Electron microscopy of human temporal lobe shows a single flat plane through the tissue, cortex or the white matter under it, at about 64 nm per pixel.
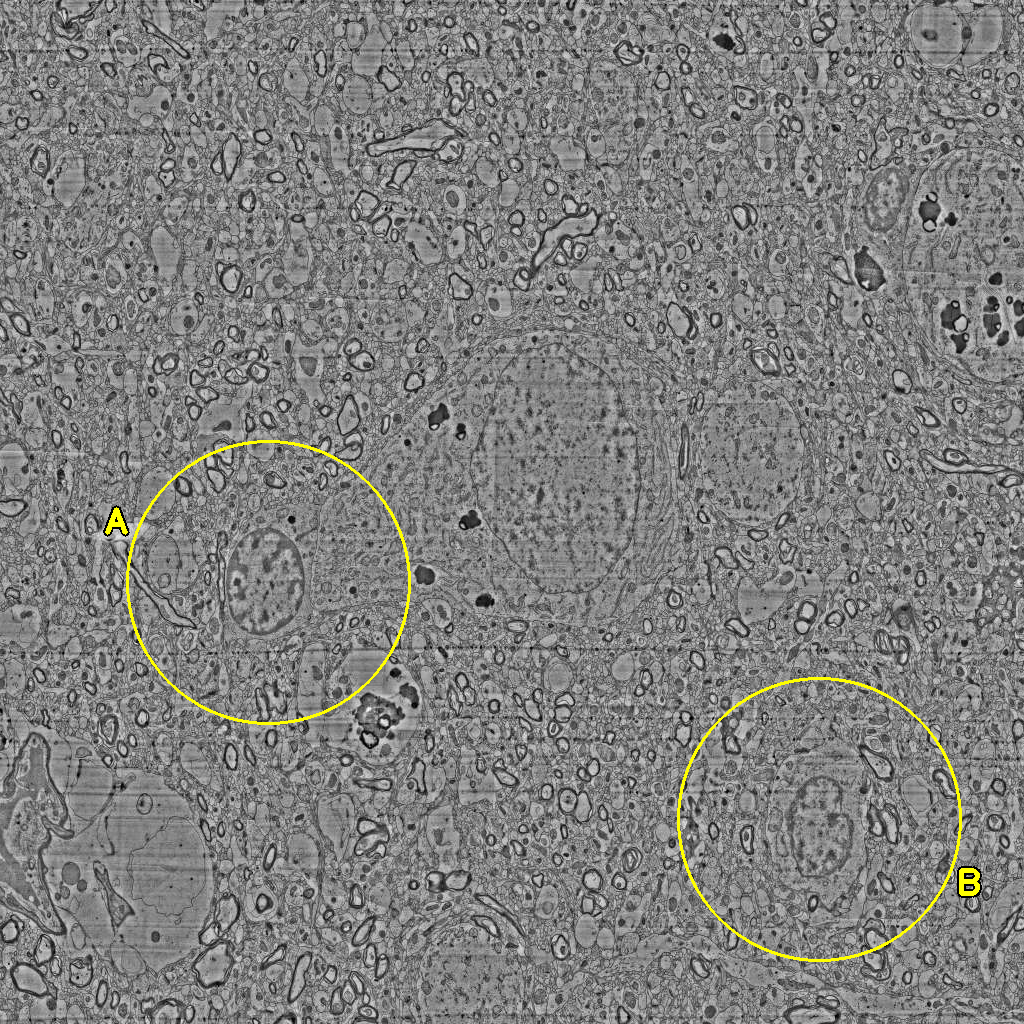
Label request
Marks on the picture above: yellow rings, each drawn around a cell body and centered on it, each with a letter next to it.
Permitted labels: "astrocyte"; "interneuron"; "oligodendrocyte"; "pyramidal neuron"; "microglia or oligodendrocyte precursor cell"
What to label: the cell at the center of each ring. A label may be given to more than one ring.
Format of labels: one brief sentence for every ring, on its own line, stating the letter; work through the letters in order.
The cell at the center of ring A is an oligodendrocyte.
The cell at the center of ring B is an interneuron.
